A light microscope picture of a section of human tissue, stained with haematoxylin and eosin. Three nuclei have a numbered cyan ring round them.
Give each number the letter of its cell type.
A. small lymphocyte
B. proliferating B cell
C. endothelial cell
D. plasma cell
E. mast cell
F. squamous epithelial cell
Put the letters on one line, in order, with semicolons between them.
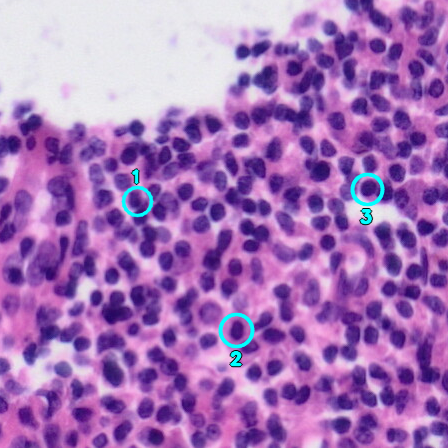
A; D; A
